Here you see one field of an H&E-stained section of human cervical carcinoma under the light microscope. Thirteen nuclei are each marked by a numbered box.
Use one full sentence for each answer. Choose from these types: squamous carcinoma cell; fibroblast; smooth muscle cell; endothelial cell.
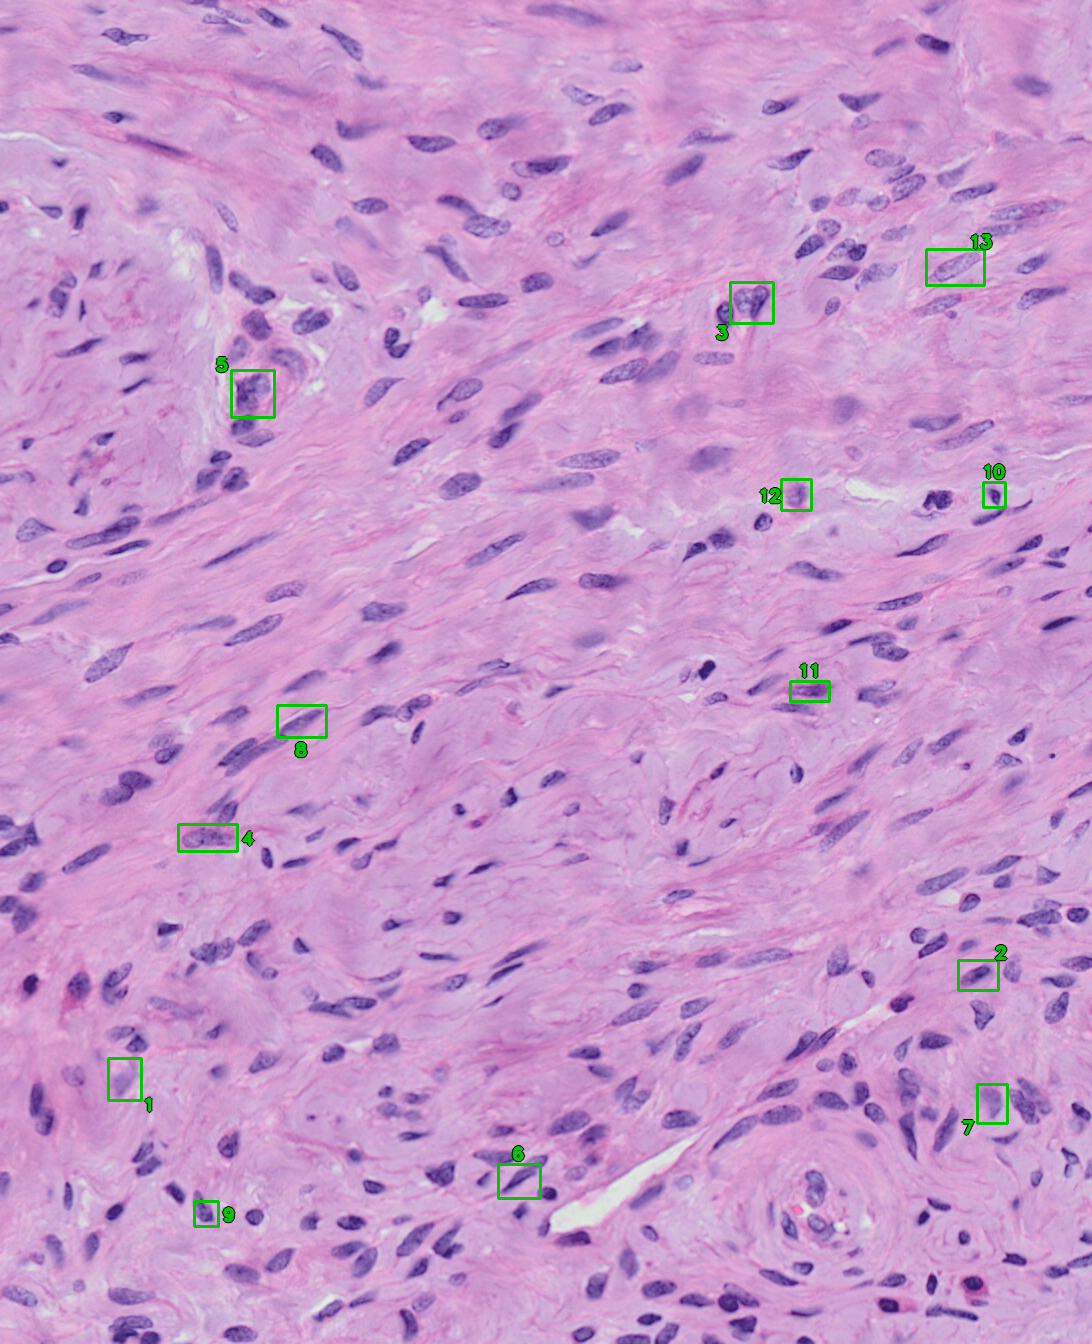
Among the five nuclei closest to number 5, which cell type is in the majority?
Most of the five nuclei nearest to number 5 are those of smooth muscle cells.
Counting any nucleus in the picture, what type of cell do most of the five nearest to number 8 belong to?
Fibroblasts make up most of the five nuclei closest to number 8.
